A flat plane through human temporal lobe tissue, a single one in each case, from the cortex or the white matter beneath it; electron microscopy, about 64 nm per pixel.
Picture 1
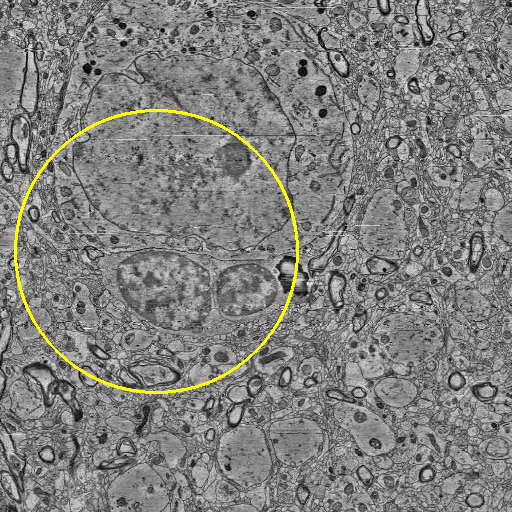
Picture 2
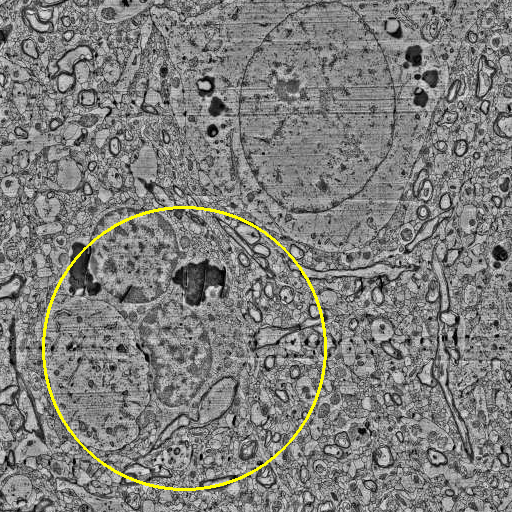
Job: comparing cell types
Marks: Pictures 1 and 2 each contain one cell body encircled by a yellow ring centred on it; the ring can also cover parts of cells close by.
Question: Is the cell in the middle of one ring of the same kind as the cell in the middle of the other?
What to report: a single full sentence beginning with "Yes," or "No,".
Yes, the cell at the ring centre in Picture 1 and its partner in Picture 2 are of one kind.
